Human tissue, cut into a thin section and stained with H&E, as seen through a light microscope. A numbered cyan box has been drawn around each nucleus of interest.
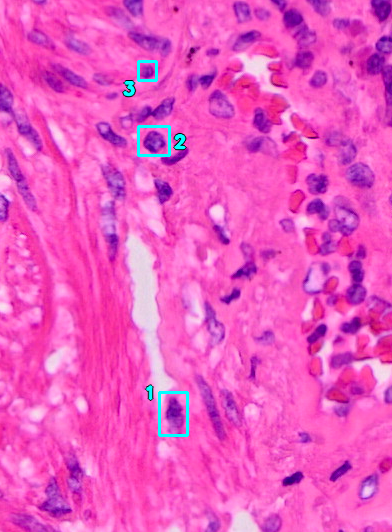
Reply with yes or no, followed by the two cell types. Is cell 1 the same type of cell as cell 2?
No, cell 1 is a smooth muscle cell or pericyte, and cell 2, in contrast, is a mast cell.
